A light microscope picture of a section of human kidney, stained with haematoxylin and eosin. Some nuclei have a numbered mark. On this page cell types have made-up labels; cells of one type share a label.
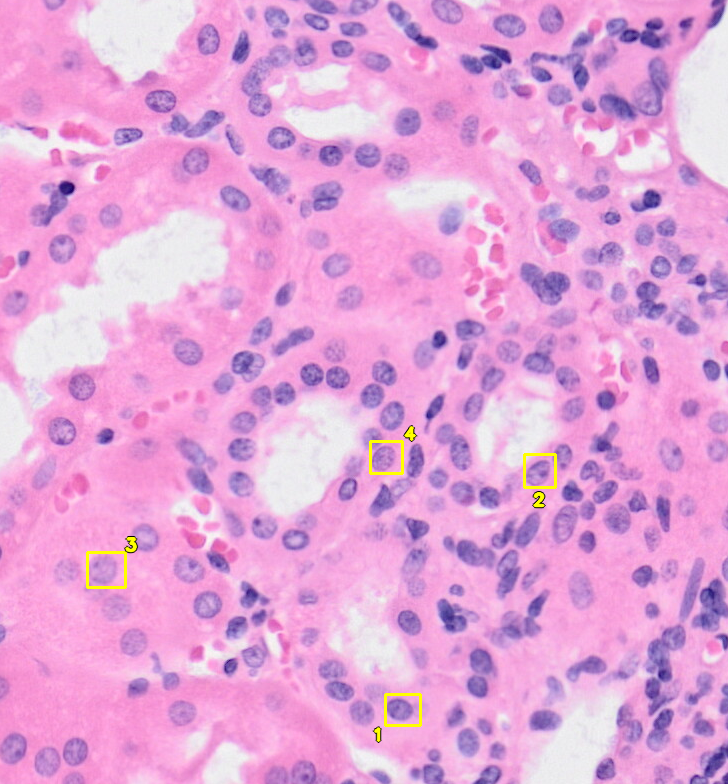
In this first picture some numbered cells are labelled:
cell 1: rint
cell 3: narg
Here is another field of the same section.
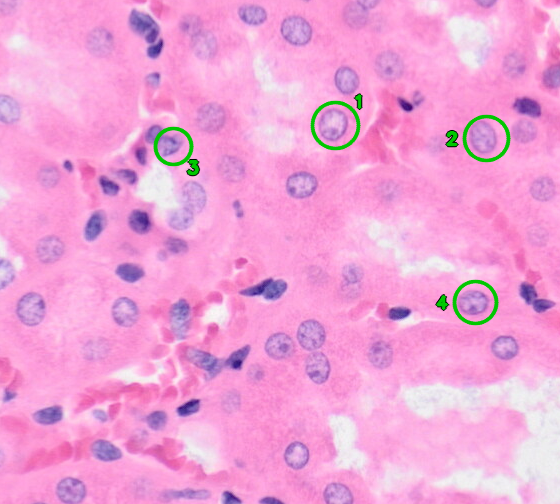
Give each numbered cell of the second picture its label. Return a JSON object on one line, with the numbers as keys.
{"1": "narg", "2": "narg", "3": "rint", "4": "narg"}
